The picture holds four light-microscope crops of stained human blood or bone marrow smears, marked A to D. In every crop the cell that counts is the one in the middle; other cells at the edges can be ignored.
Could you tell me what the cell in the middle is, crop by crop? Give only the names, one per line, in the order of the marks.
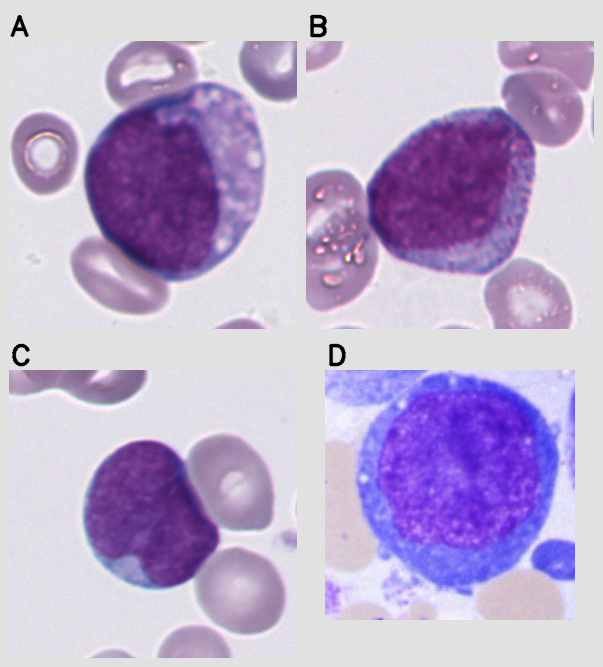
promyelocyte
promyelocyte
blast
blast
